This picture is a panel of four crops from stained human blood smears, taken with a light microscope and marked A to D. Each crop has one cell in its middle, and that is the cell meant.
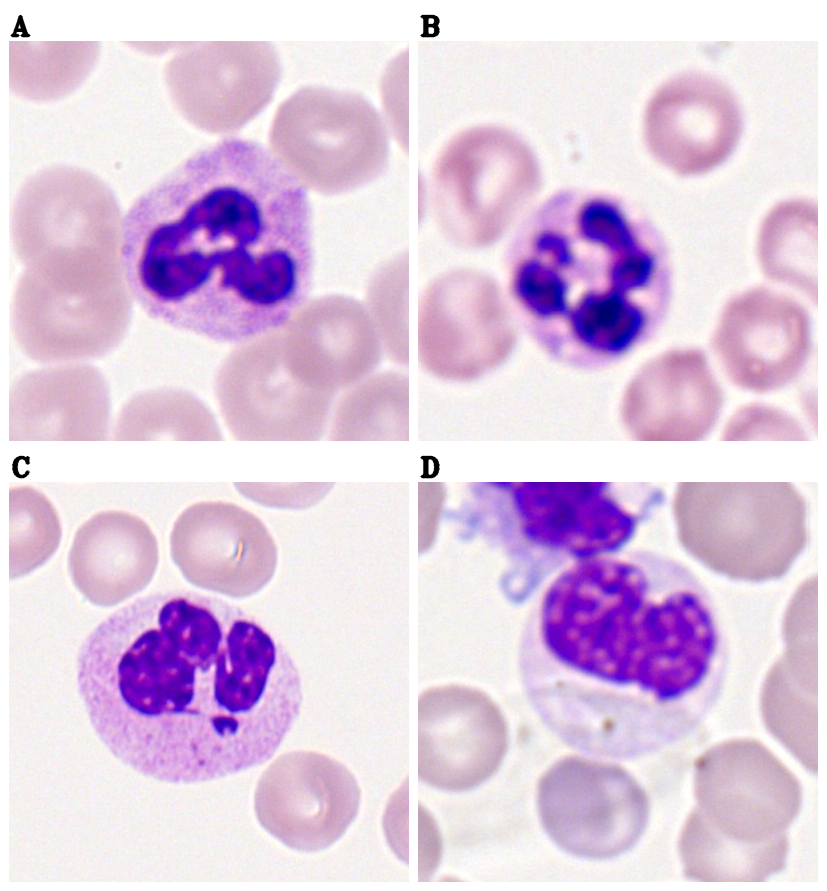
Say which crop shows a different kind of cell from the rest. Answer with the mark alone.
D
